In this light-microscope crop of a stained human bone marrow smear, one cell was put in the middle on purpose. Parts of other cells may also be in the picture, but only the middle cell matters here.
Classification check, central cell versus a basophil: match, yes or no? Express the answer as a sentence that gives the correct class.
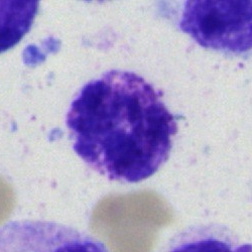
Yes, the central element of the crop is a basophil.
